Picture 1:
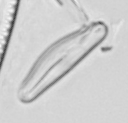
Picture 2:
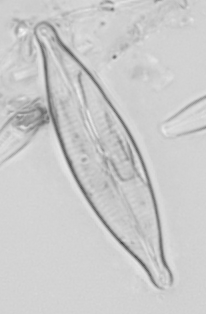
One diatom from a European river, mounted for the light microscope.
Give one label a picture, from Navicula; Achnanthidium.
Picture 1: Achnanthidium
Picture 2: Navicula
